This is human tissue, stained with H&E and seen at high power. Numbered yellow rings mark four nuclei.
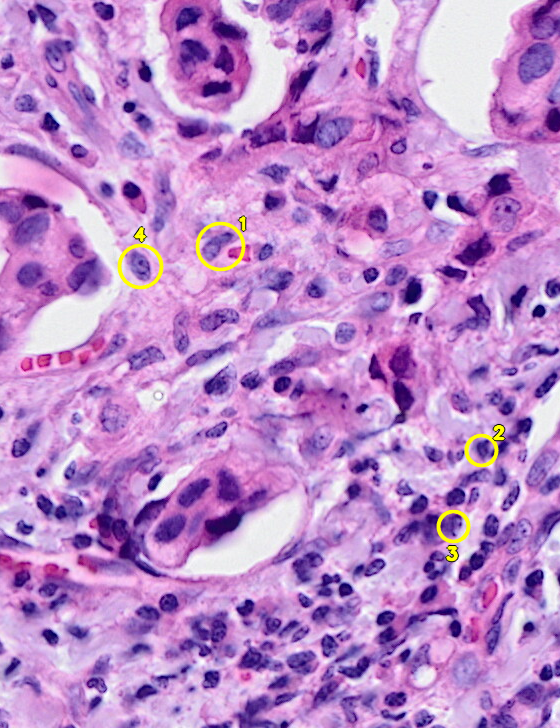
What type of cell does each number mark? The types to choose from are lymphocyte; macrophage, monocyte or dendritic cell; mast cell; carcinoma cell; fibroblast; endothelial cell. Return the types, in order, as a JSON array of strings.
["endothelial cell", "lymphocyte", "lymphocyte", "mast cell"]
